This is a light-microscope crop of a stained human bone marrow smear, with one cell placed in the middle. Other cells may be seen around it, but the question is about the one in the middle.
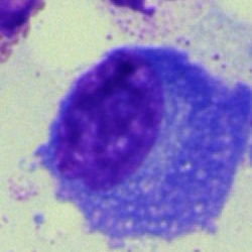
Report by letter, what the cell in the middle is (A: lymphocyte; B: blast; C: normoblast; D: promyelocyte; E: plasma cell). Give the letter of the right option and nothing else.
E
